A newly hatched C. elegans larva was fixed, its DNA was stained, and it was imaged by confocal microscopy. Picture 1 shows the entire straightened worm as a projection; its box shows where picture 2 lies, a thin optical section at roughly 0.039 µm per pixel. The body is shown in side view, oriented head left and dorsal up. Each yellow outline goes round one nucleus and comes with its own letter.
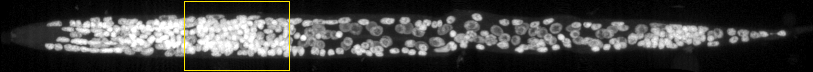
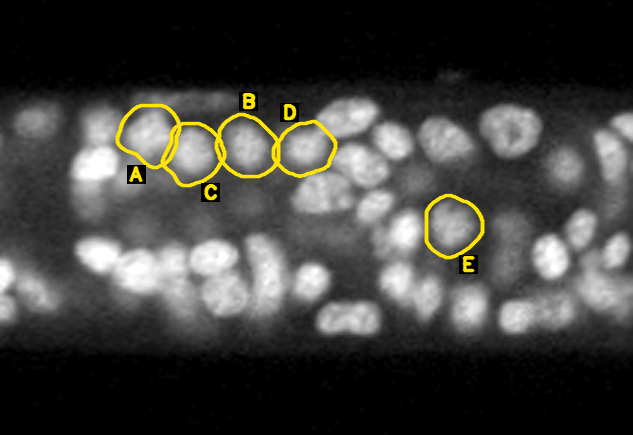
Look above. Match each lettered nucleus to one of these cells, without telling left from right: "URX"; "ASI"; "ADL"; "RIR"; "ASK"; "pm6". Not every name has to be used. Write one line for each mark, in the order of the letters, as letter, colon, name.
A: URX
B: ADL
C: ASK
D: ASI
E: pm6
